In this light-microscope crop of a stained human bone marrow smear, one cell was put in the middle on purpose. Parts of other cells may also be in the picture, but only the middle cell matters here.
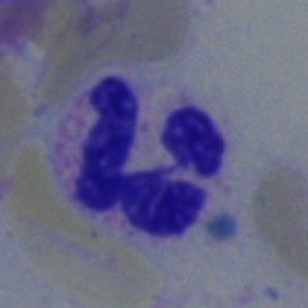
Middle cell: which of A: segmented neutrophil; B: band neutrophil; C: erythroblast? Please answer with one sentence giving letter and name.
The cell in the middle is a segmented neutrophil, so option A is correct.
